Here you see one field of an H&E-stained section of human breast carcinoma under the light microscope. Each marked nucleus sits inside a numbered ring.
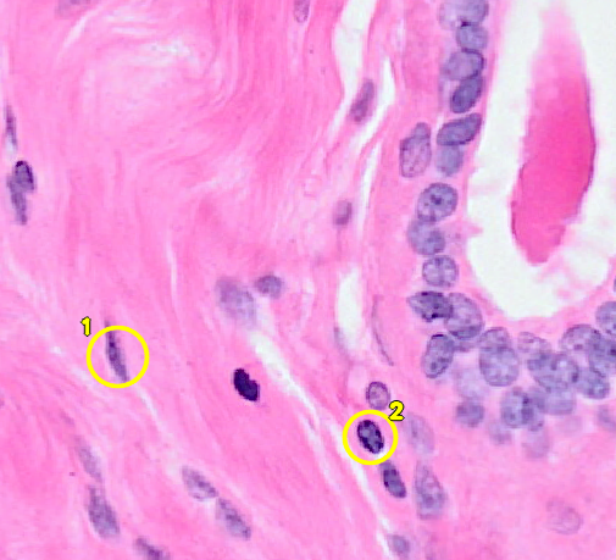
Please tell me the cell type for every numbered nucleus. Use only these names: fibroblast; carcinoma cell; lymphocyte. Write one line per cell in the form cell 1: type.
cell 1: fibroblast
cell 2: lymphocyte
